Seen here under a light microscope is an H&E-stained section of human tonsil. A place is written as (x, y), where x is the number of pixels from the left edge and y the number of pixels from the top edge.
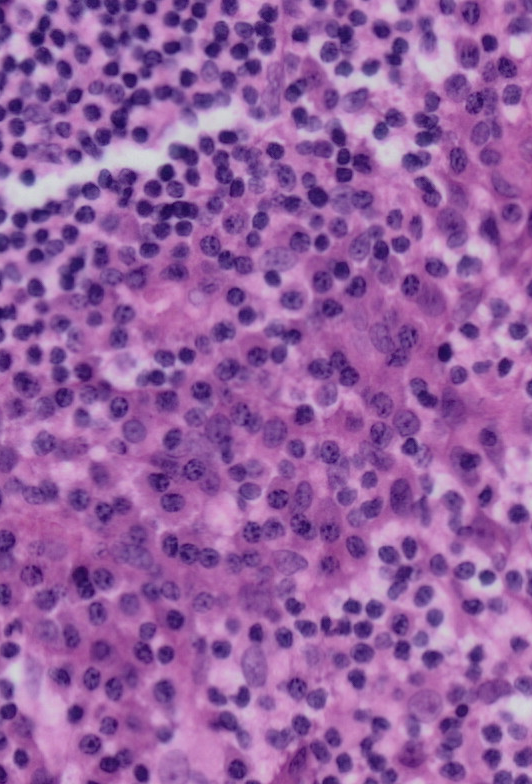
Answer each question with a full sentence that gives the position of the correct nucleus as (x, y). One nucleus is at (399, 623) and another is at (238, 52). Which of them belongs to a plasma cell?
The cell to which the nucleus at (399, 623) belongs is a plasma cell.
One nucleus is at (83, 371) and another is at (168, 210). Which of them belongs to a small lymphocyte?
The nucleus found at (168, 210) belongs to a small lymphocyte.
